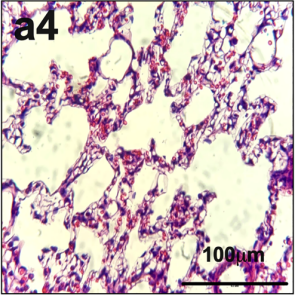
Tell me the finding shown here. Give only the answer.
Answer: Increased thickness of the alveolar septum.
